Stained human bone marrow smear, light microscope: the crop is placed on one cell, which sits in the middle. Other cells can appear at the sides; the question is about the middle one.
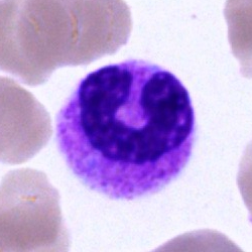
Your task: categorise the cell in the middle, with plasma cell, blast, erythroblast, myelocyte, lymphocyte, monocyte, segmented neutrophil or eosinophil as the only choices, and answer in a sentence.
The central cell, amid any neighbouring cells, is a segmented neutrophil.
